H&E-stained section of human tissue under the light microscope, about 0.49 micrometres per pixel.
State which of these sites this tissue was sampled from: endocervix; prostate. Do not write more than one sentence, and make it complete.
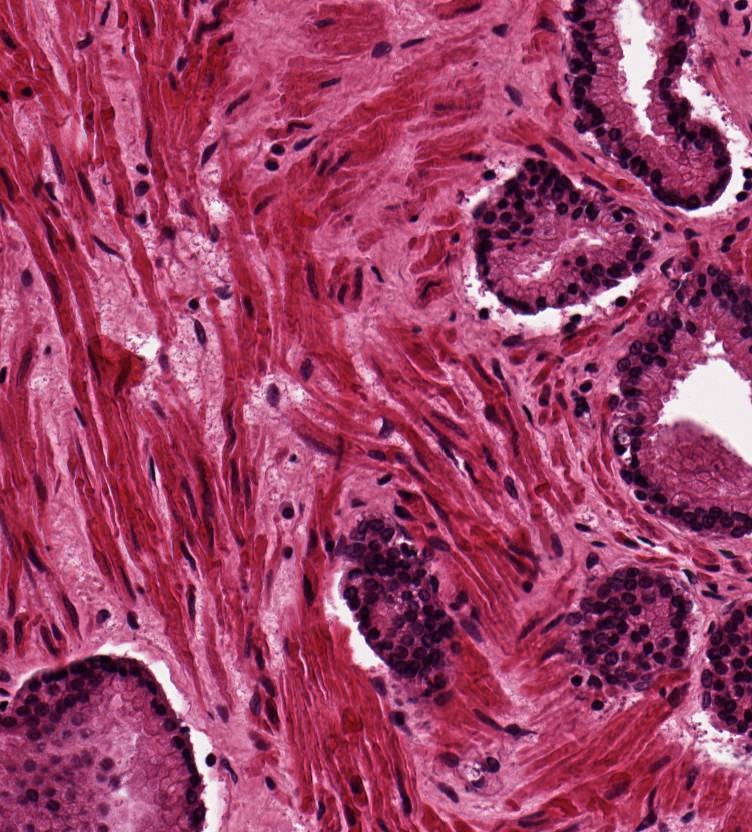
This mounted section holds tissue from the prostate.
